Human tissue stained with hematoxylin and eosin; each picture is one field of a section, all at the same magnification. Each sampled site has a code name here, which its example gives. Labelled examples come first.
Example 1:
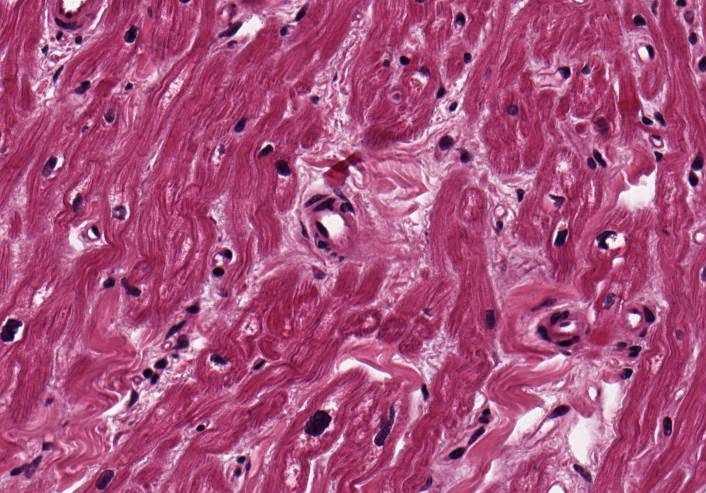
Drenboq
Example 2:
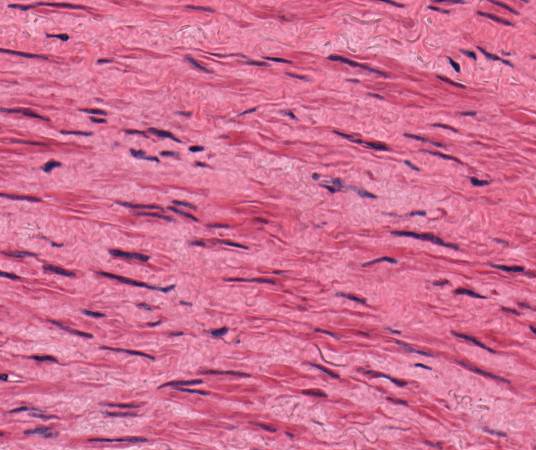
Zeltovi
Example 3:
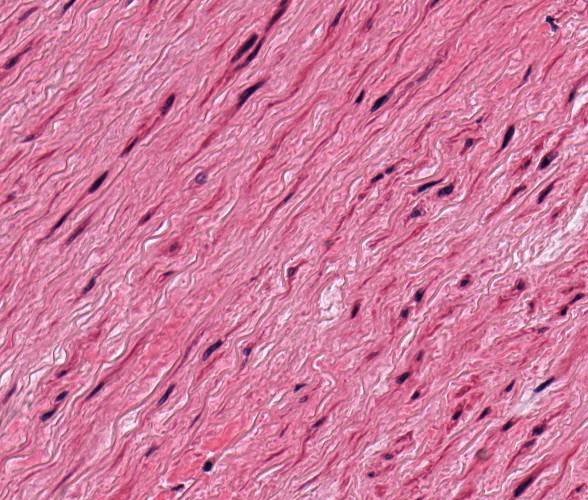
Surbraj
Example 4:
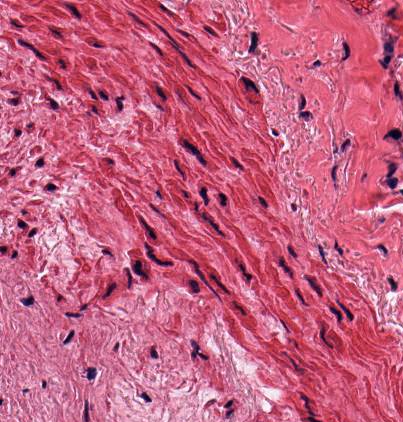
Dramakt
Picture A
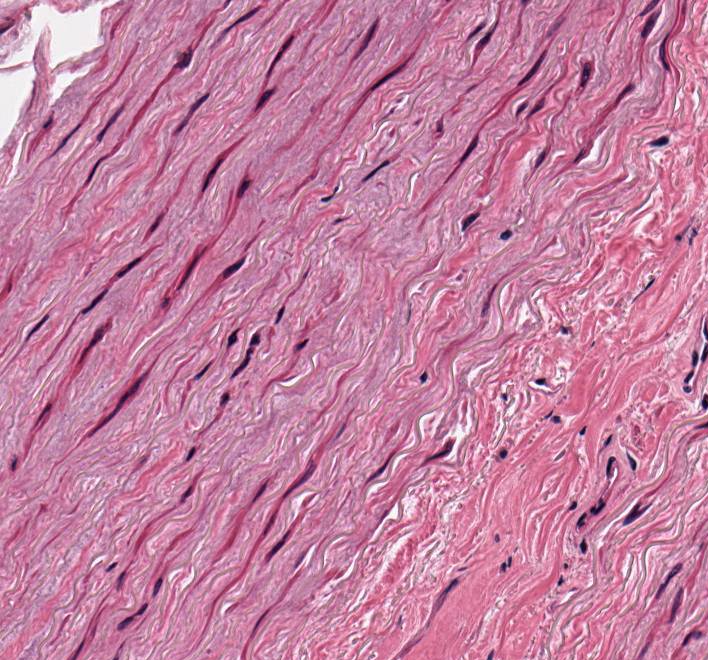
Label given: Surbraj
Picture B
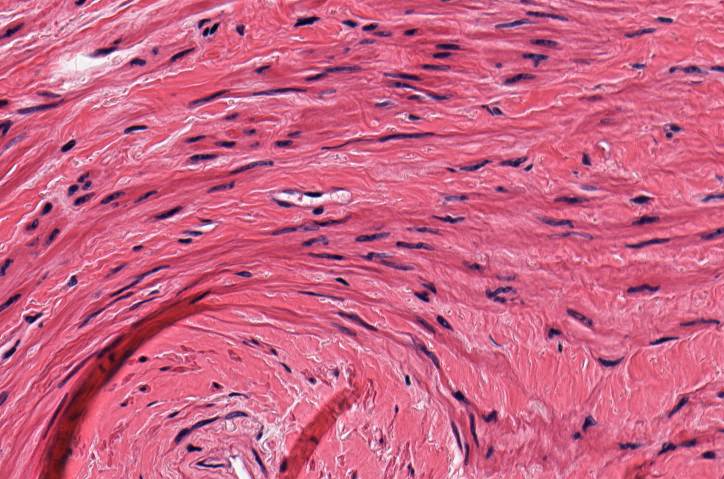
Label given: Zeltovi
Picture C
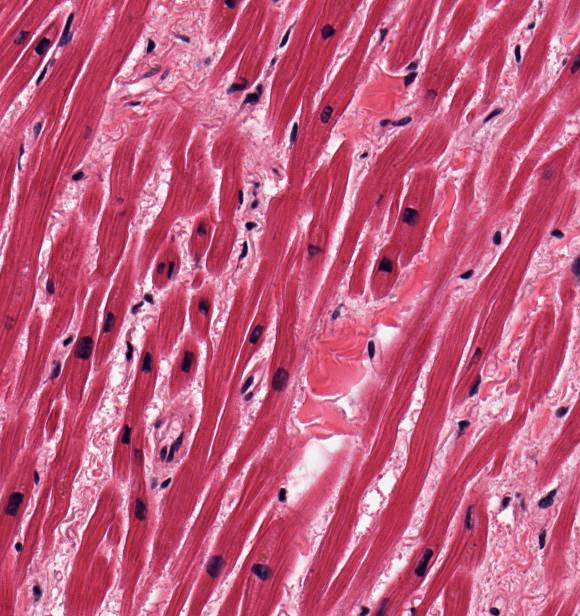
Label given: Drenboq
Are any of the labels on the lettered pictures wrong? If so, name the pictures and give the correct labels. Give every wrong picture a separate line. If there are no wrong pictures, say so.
All correct.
